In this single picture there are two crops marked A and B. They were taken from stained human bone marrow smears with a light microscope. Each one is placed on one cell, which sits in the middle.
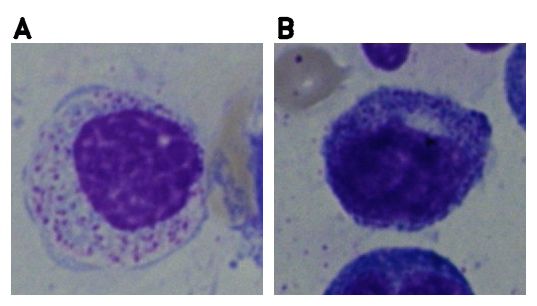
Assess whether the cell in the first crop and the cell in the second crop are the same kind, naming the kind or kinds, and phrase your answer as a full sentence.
Yes, the cells at the centres of the two crops are myelocytes.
